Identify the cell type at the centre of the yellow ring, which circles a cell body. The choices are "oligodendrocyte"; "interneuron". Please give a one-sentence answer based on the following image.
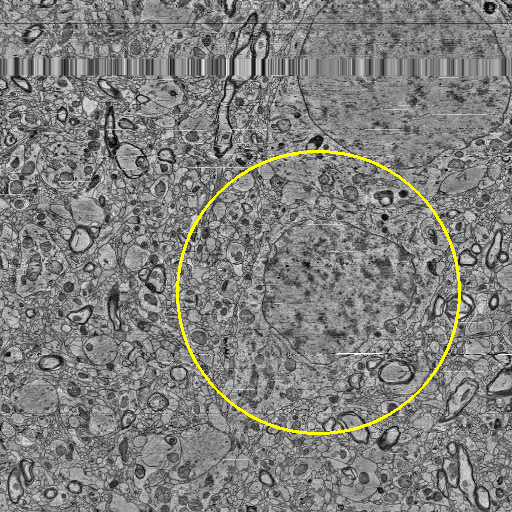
The cell marked by the ring is an interneuron.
